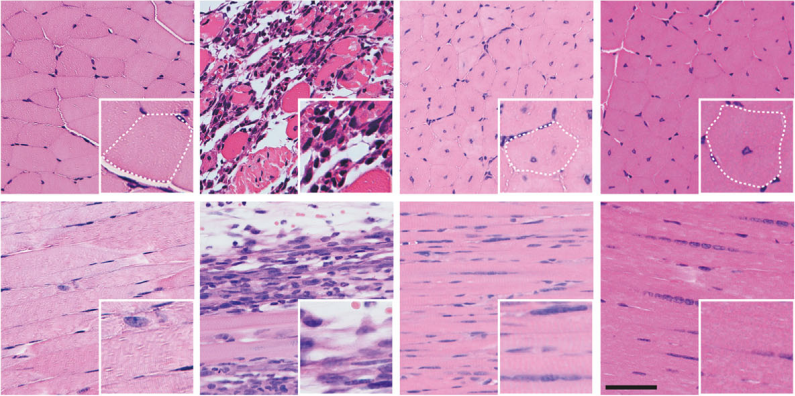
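These are sections of skeletal muscle, cut both across and along the muscle fibers, which appear as pink polygonal profiles in cross-section and as long parallel pink bands in longitudinal section. In the intact tissue the fibers are large and closely packed, with flattened dark purple nuclei lying at their edges. In one set of images the fibers are broken up and separated by dense crowds of small cells with dark round nuclei, while in others the fibers are smaller and many hold nuclei in their centre, some lined up in rows along the fiber.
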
